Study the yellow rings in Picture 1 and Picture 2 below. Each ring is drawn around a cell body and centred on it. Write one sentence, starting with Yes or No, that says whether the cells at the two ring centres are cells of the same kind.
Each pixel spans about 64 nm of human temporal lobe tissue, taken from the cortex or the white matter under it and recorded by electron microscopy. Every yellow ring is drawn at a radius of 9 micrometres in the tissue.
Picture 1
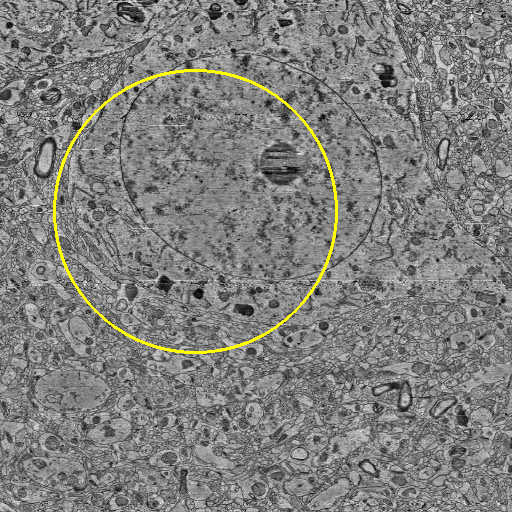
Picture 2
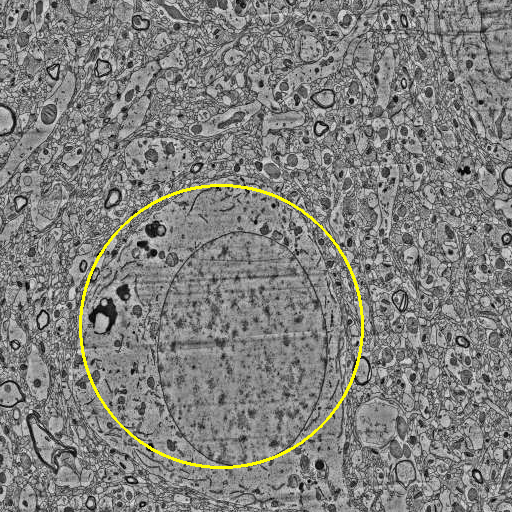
Yes, the cells at both ring centres are of the same kind.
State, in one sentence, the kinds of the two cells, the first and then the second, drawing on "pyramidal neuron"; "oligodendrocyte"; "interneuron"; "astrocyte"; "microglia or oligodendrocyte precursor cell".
The second cell is a pyramidal neuron, just as the first is.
